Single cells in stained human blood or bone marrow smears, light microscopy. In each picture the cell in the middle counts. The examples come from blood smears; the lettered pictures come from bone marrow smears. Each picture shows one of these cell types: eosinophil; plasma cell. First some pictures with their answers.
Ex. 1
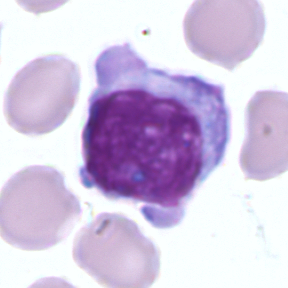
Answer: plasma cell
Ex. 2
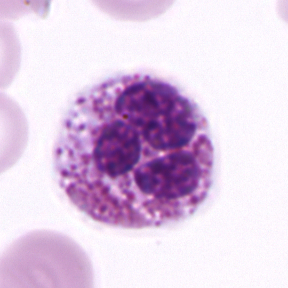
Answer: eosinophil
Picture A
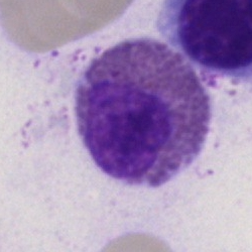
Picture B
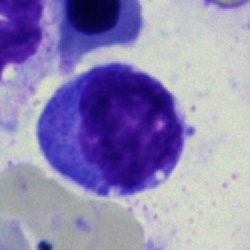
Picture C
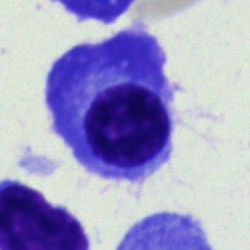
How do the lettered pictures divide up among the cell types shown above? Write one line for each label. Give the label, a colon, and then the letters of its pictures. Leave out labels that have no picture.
eosinophil: A
plasma cell: B, C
